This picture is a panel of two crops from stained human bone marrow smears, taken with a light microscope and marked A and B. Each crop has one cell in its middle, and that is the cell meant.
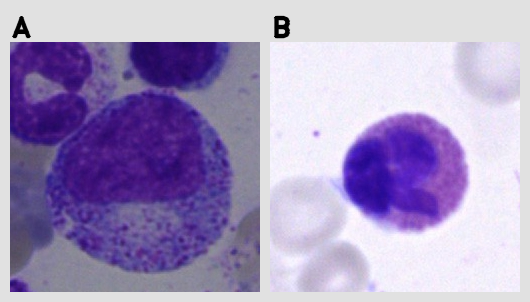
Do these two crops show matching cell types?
no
